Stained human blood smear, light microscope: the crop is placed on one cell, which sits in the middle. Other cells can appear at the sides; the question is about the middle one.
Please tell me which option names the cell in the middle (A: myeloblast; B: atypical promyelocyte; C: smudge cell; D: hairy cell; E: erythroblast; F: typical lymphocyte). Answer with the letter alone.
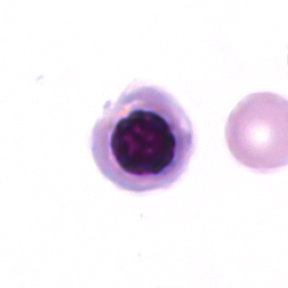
E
